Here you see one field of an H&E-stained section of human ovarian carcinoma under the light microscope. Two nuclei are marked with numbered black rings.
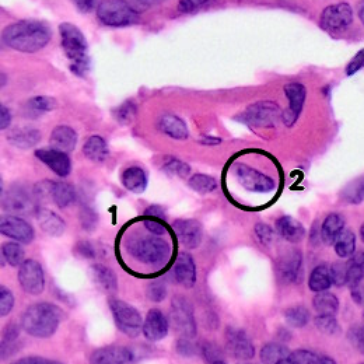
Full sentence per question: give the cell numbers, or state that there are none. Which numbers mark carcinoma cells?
Just the cell marked 1 is a carcinoma cell; none of the other marked cells is.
